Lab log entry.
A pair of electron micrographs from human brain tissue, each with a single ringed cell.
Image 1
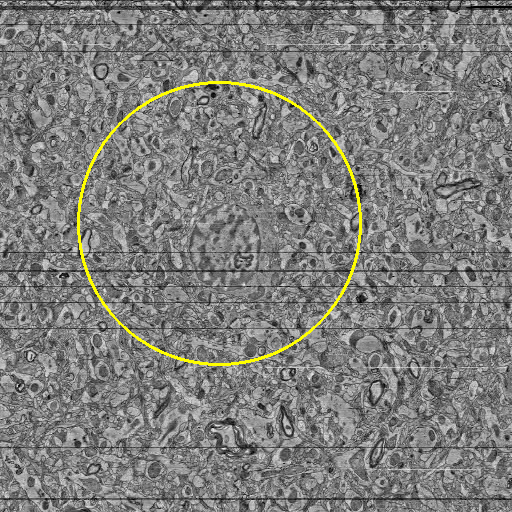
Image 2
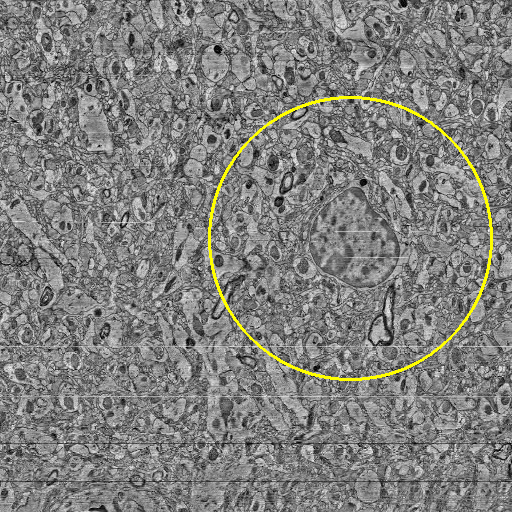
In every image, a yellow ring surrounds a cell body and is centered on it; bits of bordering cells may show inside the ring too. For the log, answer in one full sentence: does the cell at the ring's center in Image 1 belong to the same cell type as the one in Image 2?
No, the cells at the ring centers in Image 1 and Image 2 are of separate types.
